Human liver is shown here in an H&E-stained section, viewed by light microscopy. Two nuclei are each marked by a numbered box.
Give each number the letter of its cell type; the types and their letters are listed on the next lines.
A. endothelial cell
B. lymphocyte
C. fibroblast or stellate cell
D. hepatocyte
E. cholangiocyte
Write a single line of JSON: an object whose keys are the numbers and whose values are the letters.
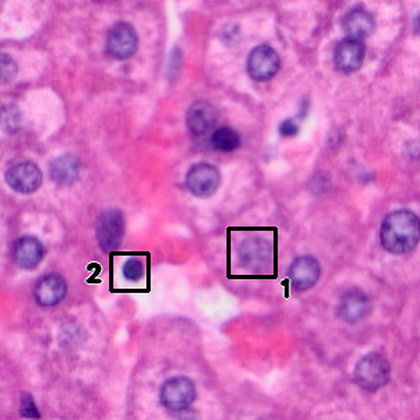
{"1": "D", "2": "B"}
